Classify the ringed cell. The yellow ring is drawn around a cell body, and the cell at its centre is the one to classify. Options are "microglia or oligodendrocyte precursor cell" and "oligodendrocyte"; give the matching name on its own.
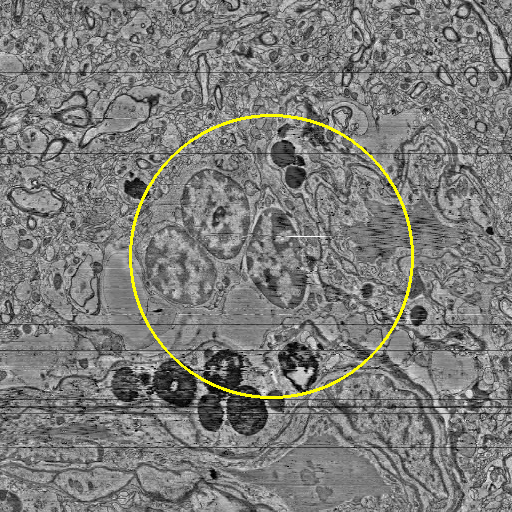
microglia or oligodendrocyte precursor cell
